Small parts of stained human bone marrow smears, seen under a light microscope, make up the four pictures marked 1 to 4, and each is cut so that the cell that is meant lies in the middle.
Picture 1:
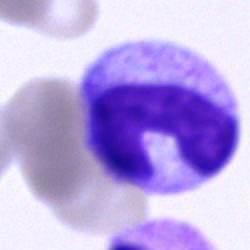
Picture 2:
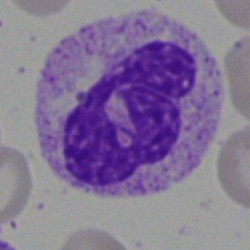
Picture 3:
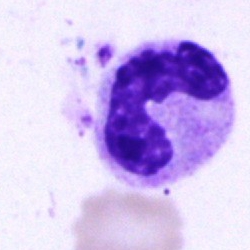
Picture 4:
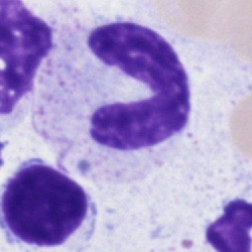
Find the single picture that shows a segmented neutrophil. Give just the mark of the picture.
2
